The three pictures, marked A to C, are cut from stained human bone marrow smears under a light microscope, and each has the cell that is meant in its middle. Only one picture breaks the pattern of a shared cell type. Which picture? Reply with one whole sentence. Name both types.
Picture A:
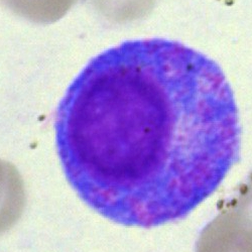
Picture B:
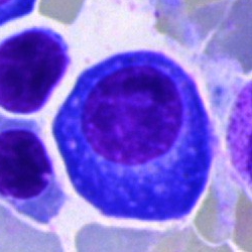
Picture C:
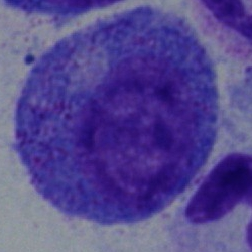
All pictures except B show promyelocytes; picture B shows a plasma cell.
